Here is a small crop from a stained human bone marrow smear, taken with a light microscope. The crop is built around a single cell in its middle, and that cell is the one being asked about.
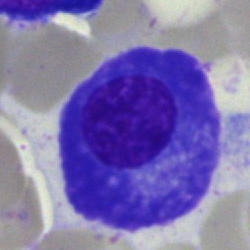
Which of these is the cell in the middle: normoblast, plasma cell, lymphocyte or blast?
plasma cell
